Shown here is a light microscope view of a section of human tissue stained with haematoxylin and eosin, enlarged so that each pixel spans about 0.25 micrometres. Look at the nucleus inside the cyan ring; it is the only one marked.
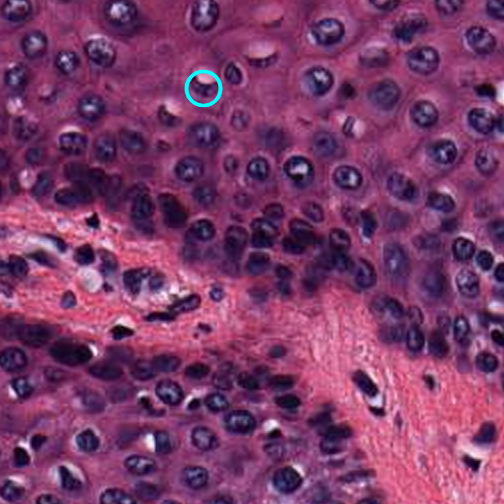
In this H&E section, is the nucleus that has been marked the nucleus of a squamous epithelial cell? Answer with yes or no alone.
yes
